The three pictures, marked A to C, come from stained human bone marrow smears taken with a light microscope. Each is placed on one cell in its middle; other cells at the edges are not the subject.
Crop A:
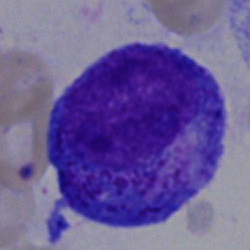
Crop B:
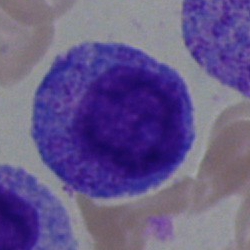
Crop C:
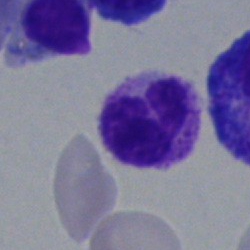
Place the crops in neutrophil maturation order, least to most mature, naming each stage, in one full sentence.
Once sorted from least to most mature, the sequence is crop A (a promyelocyte), crop B (a myelocyte) and crop C (a segmented neutrophil).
